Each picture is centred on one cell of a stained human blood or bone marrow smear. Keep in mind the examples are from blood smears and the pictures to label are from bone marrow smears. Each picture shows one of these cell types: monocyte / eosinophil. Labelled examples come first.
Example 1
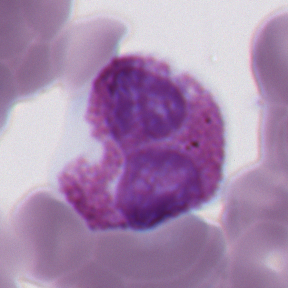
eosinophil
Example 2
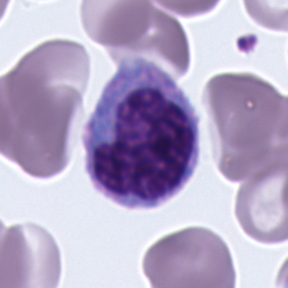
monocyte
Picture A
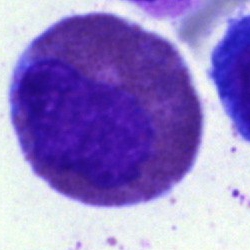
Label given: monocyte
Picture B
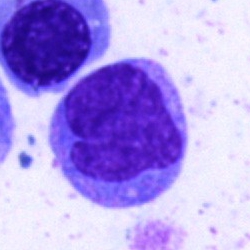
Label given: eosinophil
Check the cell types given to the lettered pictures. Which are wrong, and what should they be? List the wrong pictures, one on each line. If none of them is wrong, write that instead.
A is labelled monocyte; correct label: eosinophil
B is labelled eosinophil; correct label: monocyte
